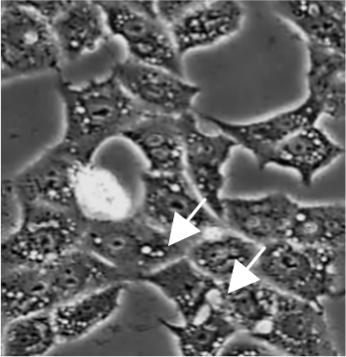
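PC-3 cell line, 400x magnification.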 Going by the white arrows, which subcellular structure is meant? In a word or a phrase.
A: Vacuoles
